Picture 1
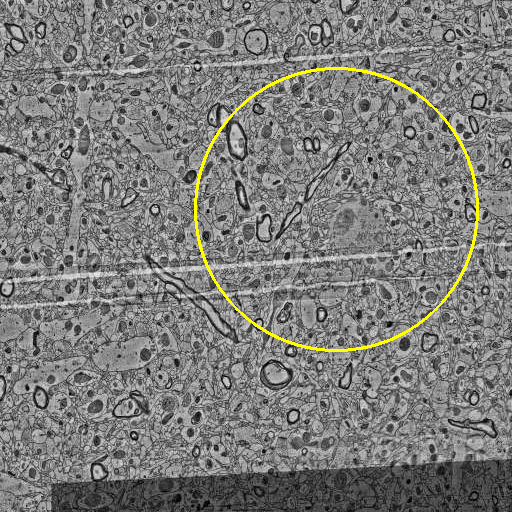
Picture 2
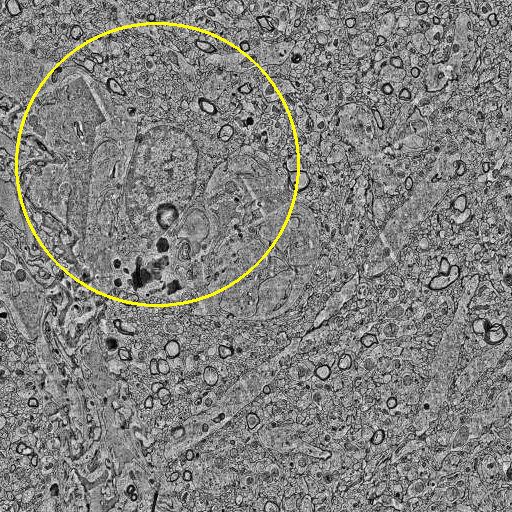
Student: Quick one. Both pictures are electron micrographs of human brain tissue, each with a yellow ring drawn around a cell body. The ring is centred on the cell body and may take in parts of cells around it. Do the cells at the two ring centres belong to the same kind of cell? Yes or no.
yes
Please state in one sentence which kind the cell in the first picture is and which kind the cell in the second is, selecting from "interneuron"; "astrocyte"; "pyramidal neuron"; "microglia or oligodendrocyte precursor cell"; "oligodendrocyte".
Each of the two pictures has an oligodendrocyte at the ring centre.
